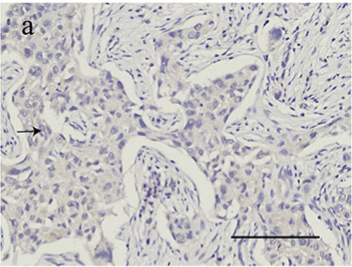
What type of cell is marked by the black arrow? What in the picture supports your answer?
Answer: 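The arrow points to sheets of epithelial cells with round nuclei. These cell groups lie between bands of pale fibrous stroma.
Tumor cells.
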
